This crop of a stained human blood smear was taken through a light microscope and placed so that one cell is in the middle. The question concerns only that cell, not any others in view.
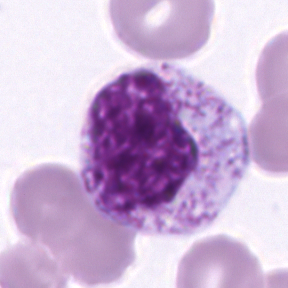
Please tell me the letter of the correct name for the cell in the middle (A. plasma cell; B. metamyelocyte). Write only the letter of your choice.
B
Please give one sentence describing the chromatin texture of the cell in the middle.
The chromatin pattern here is coarse and clumped.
